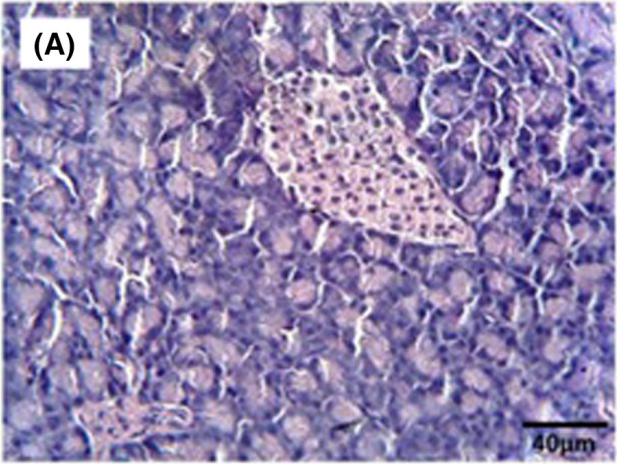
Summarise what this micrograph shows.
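Pancreas with a pale pink endocrine islet set among purple exocrine acini. The islet is a compact, well-bordered cluster of small cells with evenly spaced round dark nuclei and pale cytoplasm. The surrounding acini are packed groups of pyramidal cells with basal purple nuclei and pinker apical cytoplasm. No clear spaces or disrupted areas are seen within the islet.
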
